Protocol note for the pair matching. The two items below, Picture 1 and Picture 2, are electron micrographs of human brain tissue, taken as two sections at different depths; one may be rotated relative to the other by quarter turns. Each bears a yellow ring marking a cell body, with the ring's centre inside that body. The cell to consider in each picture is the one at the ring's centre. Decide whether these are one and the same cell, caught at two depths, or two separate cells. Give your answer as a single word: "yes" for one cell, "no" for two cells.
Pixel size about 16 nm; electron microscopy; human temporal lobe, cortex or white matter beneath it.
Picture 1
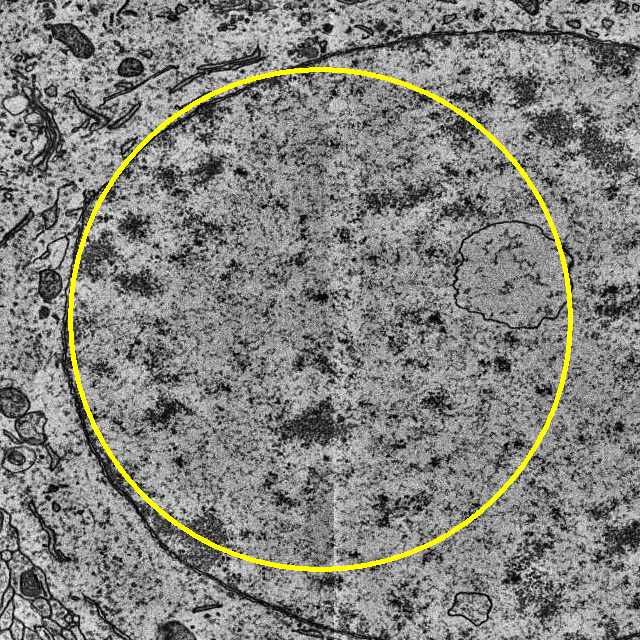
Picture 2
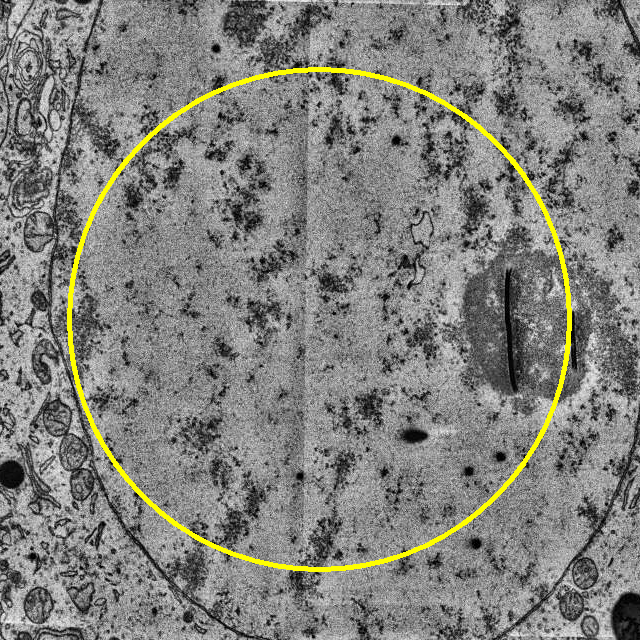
no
